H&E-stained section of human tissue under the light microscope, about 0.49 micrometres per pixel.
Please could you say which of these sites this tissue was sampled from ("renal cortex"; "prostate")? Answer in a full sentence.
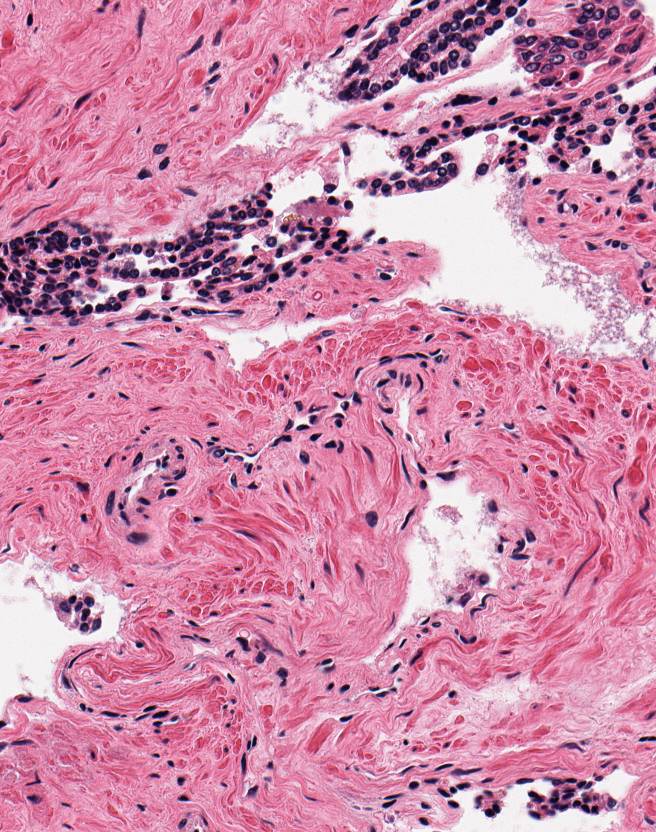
The site this tissue was sampled from is the prostate.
